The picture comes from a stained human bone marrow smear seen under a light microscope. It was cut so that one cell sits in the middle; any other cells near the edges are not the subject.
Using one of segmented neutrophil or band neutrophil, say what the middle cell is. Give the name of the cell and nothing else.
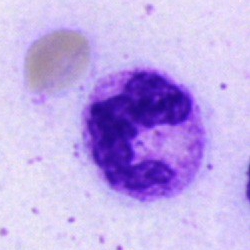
segmented neutrophil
